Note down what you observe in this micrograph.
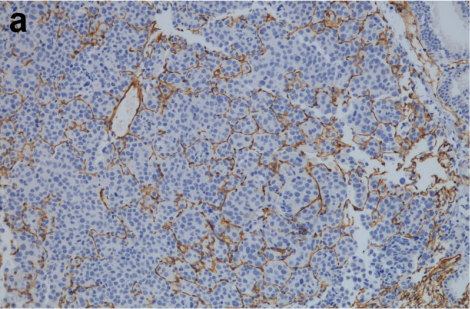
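Solid tumor tissue made of densely packed cells with round to oval blue nuclei and scant cytoplasm, arranged in sheets and nests. A fine network of brown-stained vessels runs between the nests, mostly as thin capillary-like lines, with a few larger vessels showing open lumens. Toward one edge the tissue opens into pale spaces with thin walls. The tumor cells themselves are unstained apart from the blue nuclear counterstain.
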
